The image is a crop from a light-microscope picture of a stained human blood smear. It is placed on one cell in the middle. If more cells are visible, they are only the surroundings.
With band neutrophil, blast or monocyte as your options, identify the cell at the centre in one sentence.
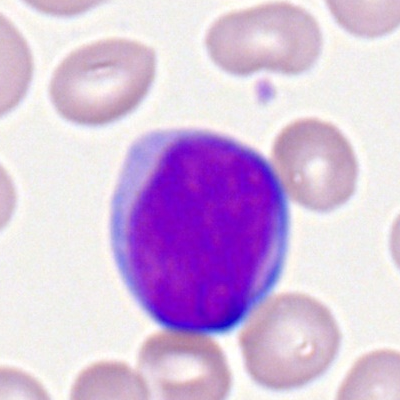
The cell in the middle of the field of view is a blast.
